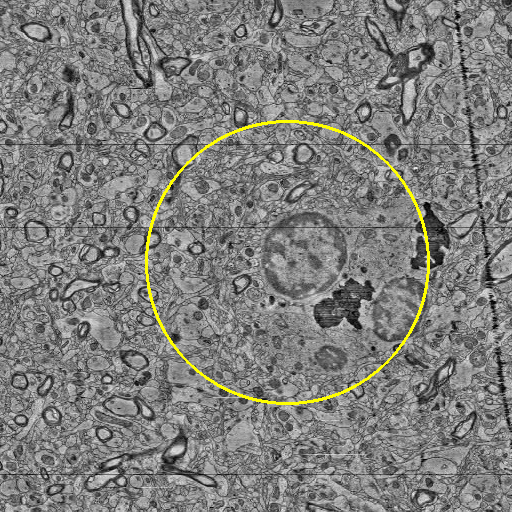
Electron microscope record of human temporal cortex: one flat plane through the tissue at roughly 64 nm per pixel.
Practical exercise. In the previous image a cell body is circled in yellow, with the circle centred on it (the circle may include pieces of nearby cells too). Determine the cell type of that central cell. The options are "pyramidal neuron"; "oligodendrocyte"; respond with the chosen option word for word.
oligodendrocyte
